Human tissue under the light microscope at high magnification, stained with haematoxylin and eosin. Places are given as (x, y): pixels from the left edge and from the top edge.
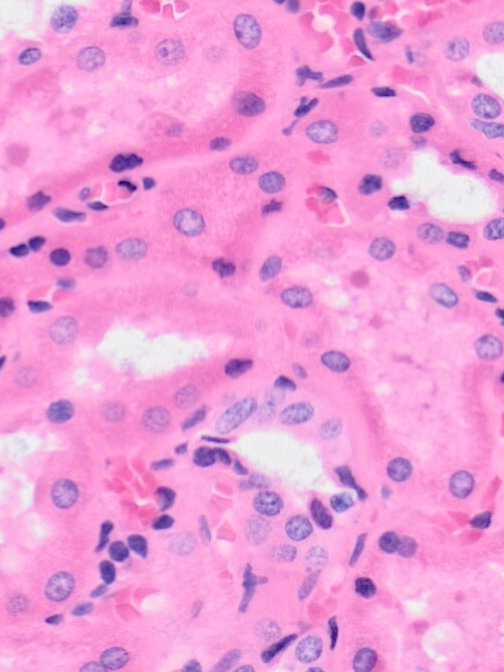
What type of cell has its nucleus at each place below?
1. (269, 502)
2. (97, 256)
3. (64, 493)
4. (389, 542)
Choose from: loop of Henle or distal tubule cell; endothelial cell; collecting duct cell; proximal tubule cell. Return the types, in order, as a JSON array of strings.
["collecting duct cell", "proximal tubule cell", "proximal tubule cell", "proximal tubule cell"]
